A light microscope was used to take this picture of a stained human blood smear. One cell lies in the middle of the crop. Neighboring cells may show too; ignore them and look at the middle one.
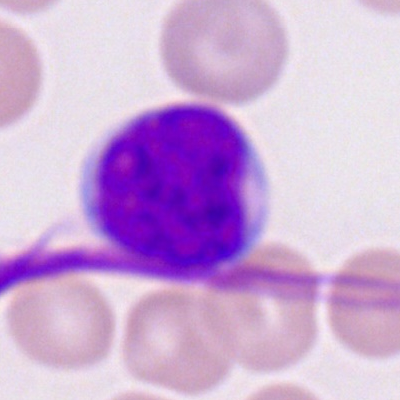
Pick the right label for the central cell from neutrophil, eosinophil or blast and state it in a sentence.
Regarding the central cell, it is a blast.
